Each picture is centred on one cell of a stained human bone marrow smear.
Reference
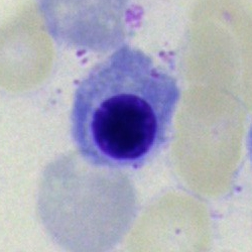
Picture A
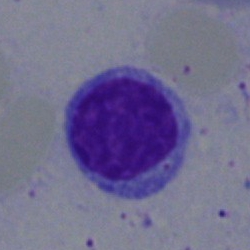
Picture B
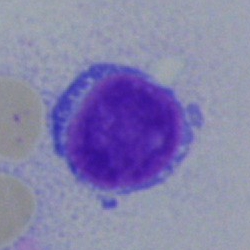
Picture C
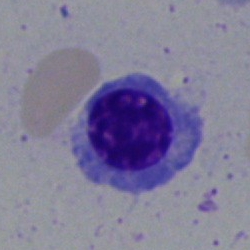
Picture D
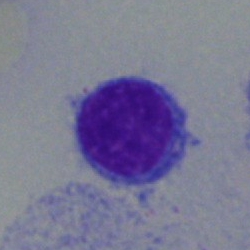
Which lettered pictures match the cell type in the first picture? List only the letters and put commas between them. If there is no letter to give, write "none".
C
